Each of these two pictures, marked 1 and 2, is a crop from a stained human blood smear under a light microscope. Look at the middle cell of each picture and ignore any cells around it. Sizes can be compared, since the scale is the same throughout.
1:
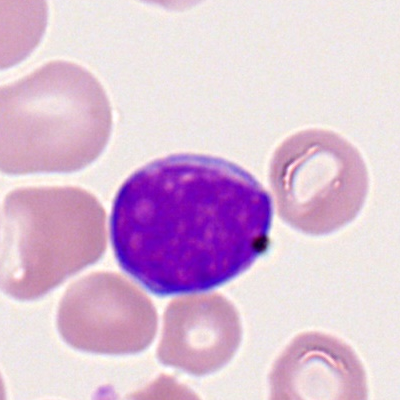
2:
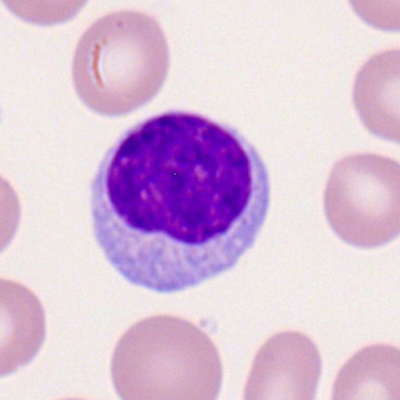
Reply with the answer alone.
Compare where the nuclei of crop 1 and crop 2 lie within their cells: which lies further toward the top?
2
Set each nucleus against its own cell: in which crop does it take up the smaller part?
2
